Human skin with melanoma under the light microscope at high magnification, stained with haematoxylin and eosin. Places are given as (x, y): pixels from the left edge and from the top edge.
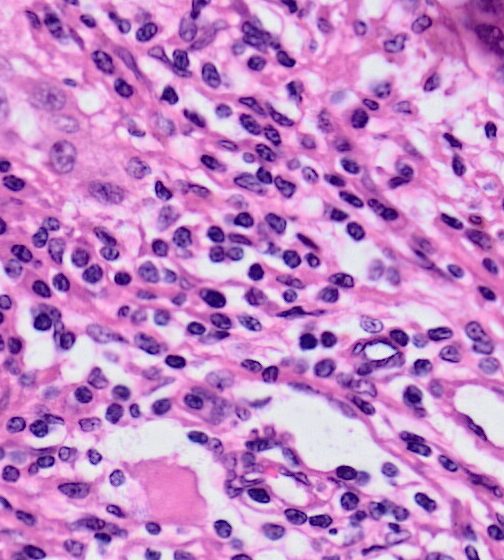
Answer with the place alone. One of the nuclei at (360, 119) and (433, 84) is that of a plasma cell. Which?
(360, 119)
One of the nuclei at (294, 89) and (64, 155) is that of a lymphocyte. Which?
(294, 89)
